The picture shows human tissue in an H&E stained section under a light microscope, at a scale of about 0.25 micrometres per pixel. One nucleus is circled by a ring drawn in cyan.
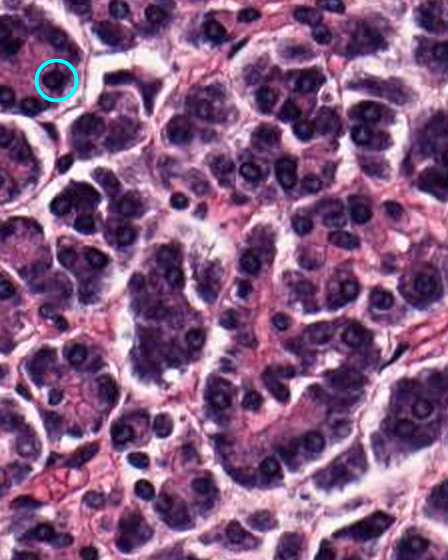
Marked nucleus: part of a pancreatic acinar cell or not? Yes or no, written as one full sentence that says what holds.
Yes, the marked nucleus sits in a pancreatic acinar cell.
